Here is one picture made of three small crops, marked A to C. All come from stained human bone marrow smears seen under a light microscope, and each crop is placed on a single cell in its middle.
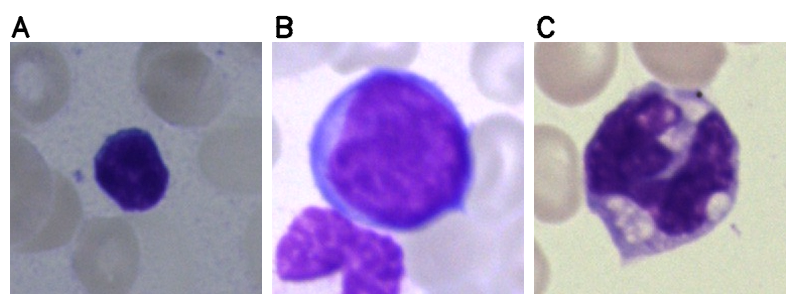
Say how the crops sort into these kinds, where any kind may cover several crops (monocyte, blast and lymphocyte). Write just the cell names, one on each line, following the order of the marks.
lymphocyte
blast
monocyte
